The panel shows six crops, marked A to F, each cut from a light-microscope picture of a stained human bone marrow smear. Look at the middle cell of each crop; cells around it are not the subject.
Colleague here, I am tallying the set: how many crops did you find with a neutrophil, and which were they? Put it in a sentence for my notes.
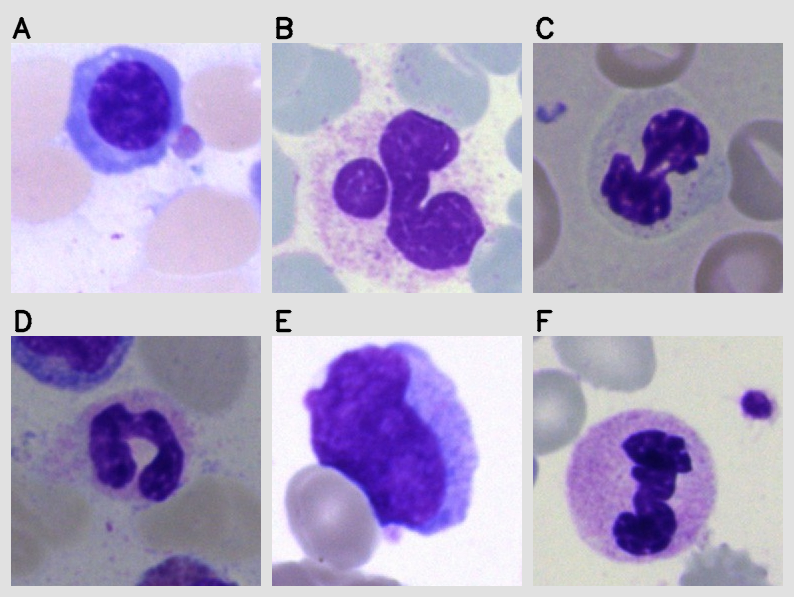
There are four crops with neutrophils: B, C, D and F.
